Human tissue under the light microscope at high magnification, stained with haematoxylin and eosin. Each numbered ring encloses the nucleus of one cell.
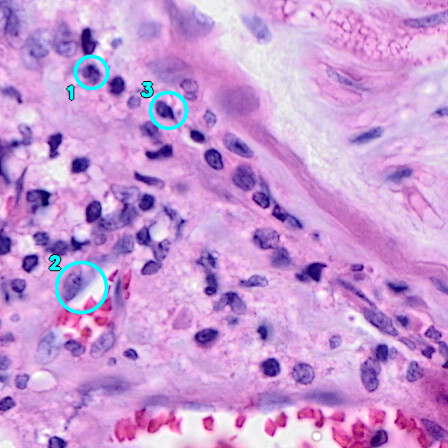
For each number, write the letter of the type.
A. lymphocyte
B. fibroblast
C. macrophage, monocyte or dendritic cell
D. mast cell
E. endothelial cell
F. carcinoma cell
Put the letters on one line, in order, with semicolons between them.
A; E; A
